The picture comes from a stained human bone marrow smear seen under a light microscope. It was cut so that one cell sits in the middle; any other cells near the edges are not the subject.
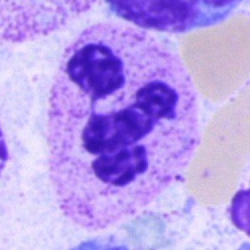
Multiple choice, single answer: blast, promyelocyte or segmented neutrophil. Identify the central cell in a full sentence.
The cell around which this crop is centred is a segmented neutrophil.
